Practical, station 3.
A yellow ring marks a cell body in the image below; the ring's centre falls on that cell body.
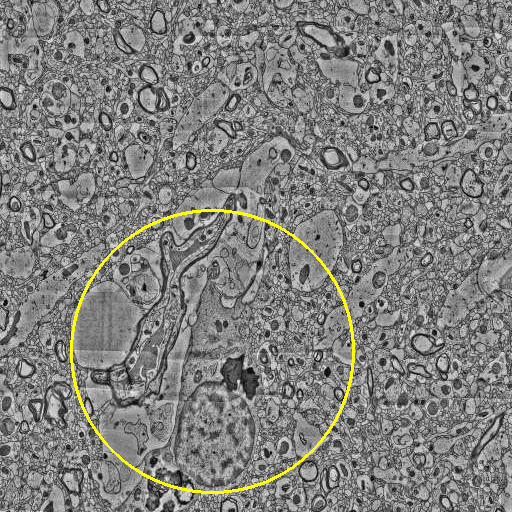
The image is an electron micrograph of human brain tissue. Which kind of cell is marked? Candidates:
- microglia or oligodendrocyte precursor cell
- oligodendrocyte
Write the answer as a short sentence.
The marked cell body is that of an oligodendrocyte.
